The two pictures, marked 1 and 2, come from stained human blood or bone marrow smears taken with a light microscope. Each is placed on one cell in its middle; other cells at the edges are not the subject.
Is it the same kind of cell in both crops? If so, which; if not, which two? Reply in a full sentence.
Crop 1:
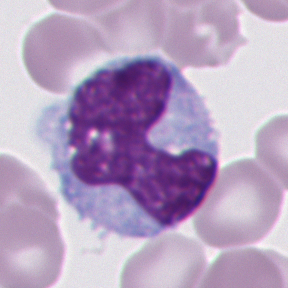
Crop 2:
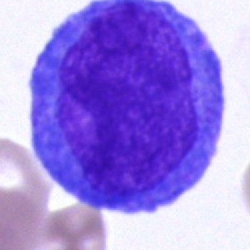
No, crop 1 is of a monocyte, and crop 2 is of a blast.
